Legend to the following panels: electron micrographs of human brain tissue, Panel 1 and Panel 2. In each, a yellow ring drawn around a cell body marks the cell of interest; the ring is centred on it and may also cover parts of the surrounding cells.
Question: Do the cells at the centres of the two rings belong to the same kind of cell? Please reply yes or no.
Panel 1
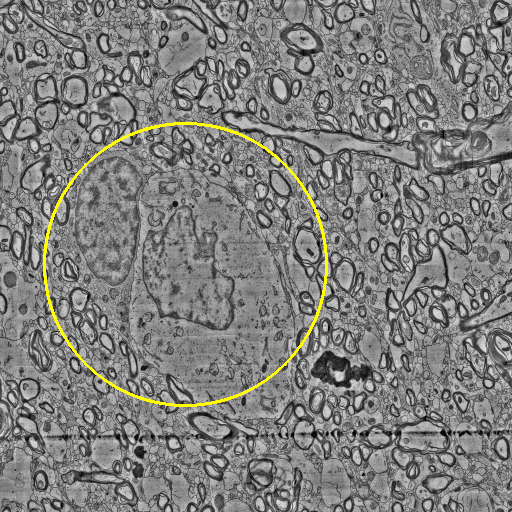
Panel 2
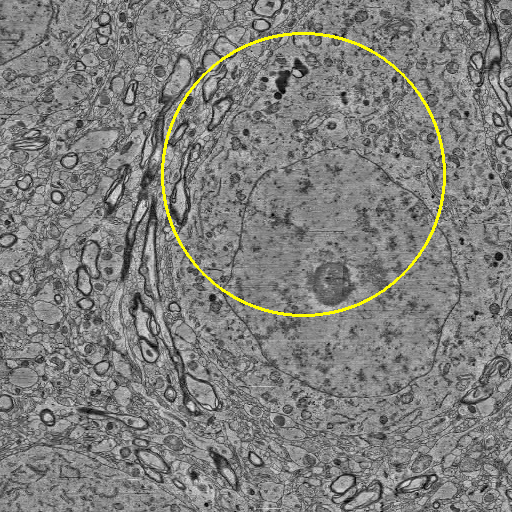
yes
